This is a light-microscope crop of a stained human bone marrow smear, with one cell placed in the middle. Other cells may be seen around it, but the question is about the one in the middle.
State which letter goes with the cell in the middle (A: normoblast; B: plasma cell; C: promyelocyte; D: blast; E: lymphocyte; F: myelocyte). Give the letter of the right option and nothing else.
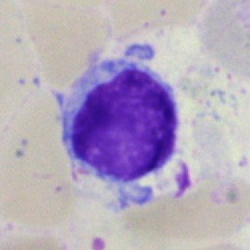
E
